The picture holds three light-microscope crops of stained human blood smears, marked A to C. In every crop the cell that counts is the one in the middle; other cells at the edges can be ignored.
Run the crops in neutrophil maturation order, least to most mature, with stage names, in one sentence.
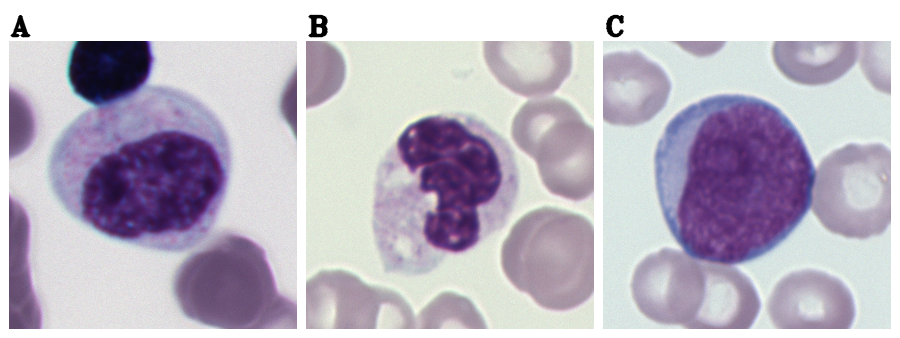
The sequence of maturity, beginning with the least mature, runs crop C (a blast), crop A (a band neutrophil) and crop B (a segmented neutrophil).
